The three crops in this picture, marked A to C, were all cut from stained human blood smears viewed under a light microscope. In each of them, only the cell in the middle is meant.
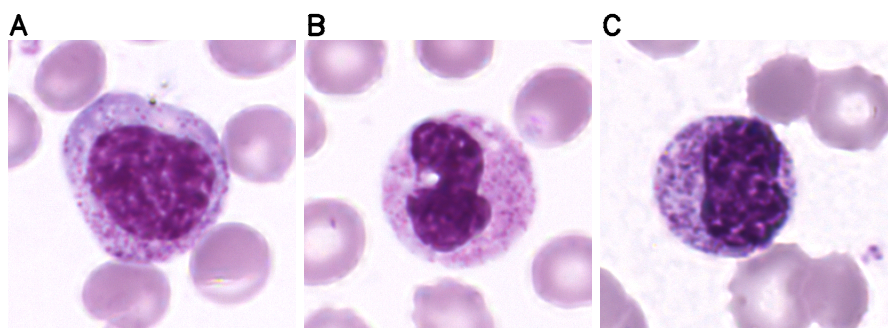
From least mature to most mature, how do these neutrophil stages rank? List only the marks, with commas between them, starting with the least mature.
A, C, B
